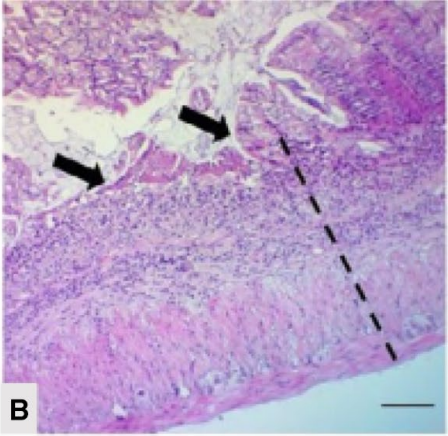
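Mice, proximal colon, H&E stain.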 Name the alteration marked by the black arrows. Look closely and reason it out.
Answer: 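The surface lining is broken and frayed where the arrows point. Crypt architecture is lost near the arrows, with loose debris at the surface. On this evidence: focal epithelial ulceration.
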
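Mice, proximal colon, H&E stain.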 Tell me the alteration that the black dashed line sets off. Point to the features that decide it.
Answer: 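A dense band of small dark purple nuclei fills the wall below the mucosa. The dashed line runs from the mucosa down to the outer muscle layer.
Conclusion: transmural infiltration of inflammatory cells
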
